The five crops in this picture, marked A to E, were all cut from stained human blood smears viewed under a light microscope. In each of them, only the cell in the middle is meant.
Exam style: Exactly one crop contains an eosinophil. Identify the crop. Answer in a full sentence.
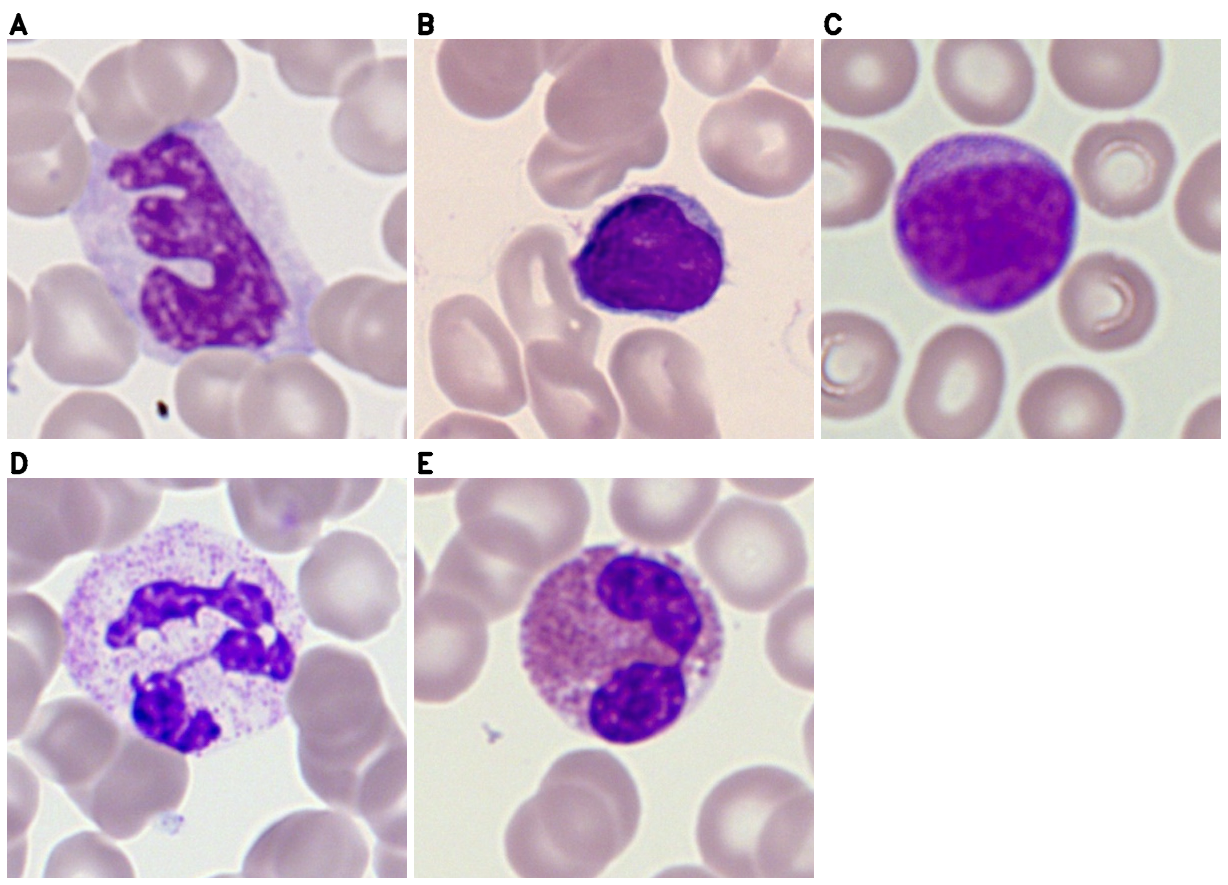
Among the crops, only crop E contains an eosinophil.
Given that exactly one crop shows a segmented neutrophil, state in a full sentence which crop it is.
Of the crops shown, crop D depicts a segmented neutrophil.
